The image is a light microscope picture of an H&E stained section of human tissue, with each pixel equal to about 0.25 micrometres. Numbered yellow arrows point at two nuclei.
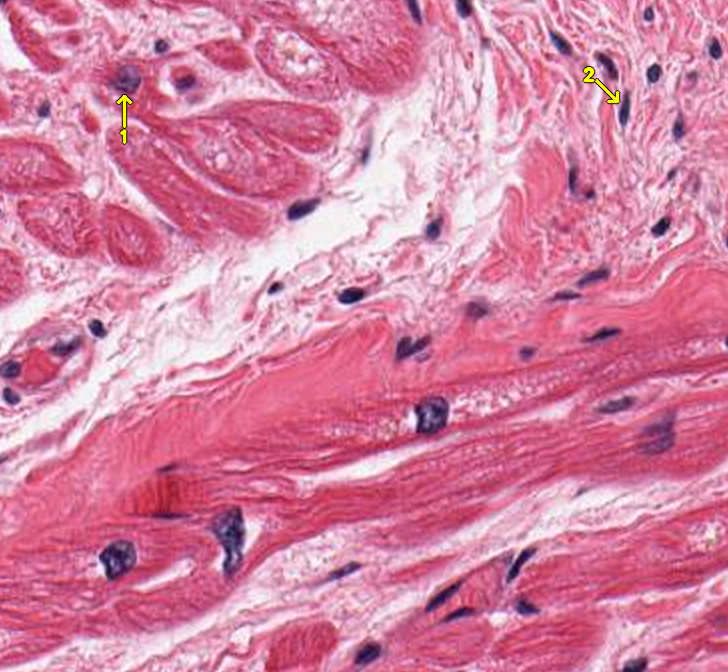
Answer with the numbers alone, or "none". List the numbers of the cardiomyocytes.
1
